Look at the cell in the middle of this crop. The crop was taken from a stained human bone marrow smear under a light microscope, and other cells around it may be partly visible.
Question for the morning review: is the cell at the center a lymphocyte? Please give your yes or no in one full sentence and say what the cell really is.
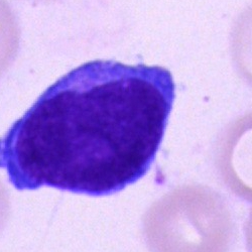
No, the cell in the middle is a blast, not a lymphocyte.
